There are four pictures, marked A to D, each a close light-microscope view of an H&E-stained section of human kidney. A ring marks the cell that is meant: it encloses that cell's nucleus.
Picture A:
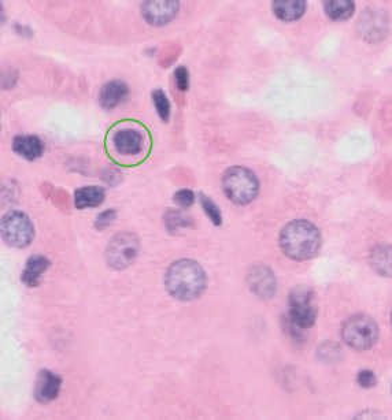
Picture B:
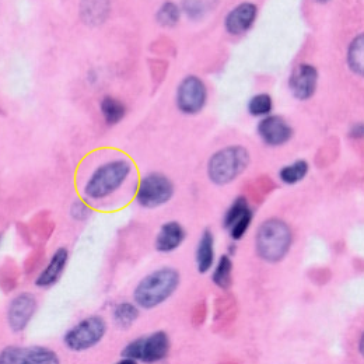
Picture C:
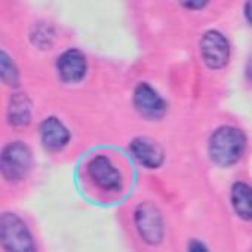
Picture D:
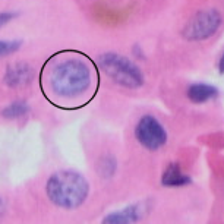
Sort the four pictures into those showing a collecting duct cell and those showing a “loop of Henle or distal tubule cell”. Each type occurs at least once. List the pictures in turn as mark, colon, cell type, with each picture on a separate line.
A: loop of Henle or distal tubule cell
B: collecting duct cell
C: loop of Henle or distal tubule cell
D: loop of Henle or distal tubule cell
